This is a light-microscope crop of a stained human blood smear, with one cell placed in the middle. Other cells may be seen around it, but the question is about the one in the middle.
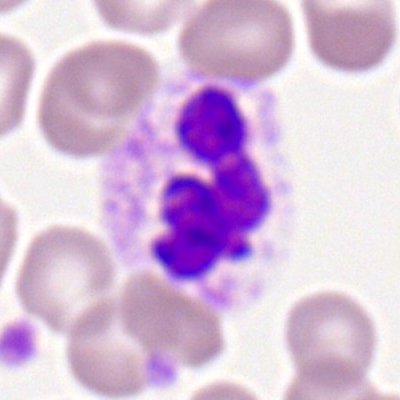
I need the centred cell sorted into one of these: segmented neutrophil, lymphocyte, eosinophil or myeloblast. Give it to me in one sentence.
Present in the middle of the crop is a segmented neutrophil.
